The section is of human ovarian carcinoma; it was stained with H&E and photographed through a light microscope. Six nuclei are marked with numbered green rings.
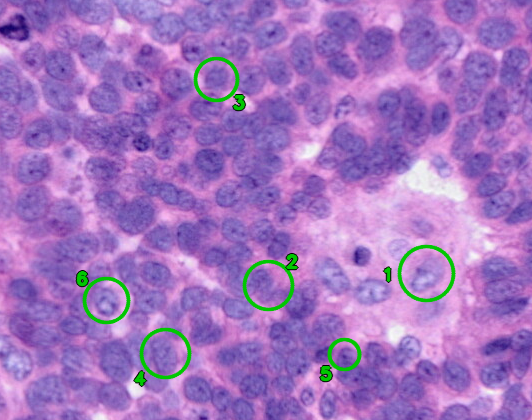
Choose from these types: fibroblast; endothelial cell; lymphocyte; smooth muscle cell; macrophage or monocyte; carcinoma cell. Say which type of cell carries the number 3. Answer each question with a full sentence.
Cell 3 in the field of view is a carcinoma cell.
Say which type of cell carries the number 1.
The nucleus labeled 1 belongs to a fibroblast.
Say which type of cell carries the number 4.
The cell referenced by the number 4 is a carcinoma cell in this field.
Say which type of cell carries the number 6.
The cell marked with number 6 is a macrophage or monocyte.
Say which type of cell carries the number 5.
The nucleus marked 5 is the nucleus of a carcinoma cell.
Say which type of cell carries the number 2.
The cell that goes by number 2 is a carcinoma cell.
